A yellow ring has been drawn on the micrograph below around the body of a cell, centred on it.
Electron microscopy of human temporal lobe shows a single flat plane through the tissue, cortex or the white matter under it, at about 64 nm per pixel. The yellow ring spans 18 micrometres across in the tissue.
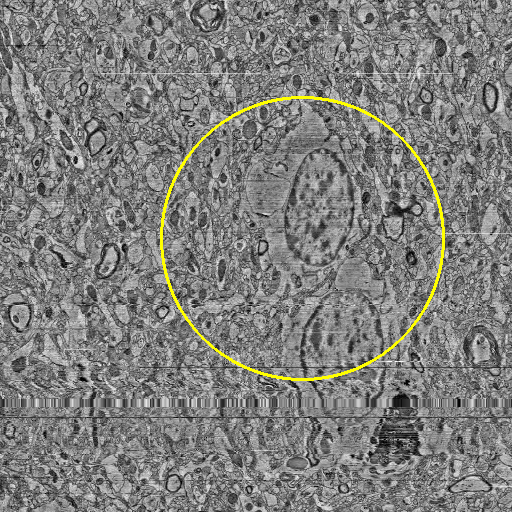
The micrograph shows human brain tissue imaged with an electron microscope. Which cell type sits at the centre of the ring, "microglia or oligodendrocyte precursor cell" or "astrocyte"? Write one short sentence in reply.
The cell sitting at the centre of the ring is an astrocyte.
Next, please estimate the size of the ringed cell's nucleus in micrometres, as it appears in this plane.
About 8 by 4 micrometers in this plane, so the nucleus is clearly longer than it is wide.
